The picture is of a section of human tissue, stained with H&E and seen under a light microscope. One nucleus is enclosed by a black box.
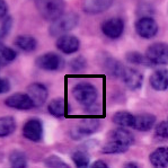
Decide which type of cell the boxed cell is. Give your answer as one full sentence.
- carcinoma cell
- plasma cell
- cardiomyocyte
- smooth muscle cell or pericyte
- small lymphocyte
For cell typing purposes, the boxed cell is a plasma cell.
